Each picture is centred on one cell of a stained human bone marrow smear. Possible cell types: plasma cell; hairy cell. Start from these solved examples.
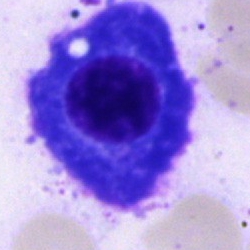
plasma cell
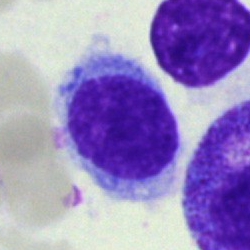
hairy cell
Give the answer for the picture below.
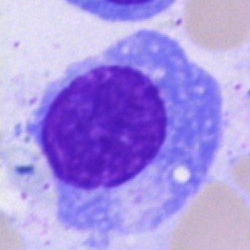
plasma cell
